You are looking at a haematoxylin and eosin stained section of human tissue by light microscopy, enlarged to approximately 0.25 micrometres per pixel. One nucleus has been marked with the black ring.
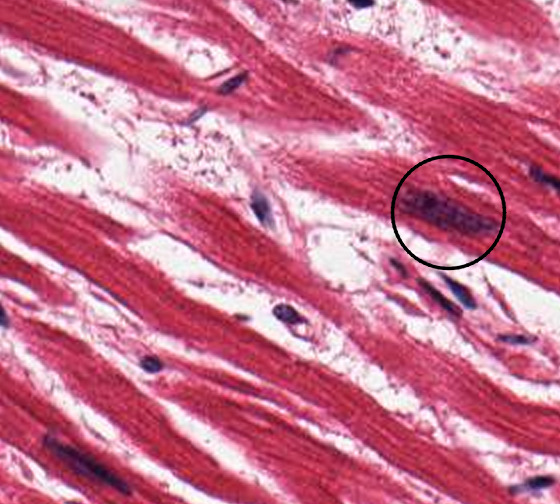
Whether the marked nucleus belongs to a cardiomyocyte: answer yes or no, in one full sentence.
Yes, the nucleus that carries the mark belongs to a cardiomyocyte.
